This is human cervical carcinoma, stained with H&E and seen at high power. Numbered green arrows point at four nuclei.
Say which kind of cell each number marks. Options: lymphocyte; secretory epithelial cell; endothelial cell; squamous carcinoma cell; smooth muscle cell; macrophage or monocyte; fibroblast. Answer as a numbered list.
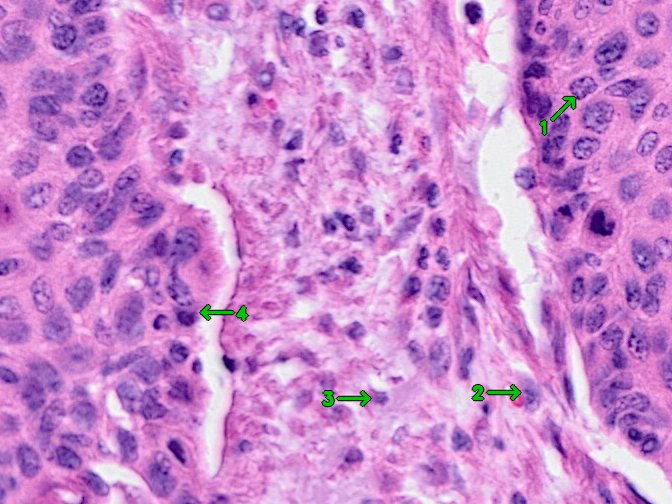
1. squamous carcinoma cell
2. endothelial cell
3. fibroblast
4. squamous carcinoma cell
